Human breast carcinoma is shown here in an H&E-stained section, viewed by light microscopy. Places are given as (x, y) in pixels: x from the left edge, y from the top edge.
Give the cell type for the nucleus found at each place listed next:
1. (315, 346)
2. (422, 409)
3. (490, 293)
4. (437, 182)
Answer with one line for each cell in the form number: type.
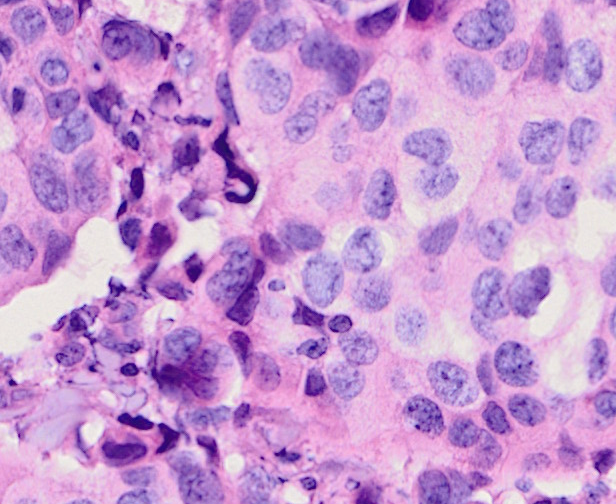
1: lymphocyte
2: carcinoma cell
3: carcinoma cell
4: carcinoma cell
